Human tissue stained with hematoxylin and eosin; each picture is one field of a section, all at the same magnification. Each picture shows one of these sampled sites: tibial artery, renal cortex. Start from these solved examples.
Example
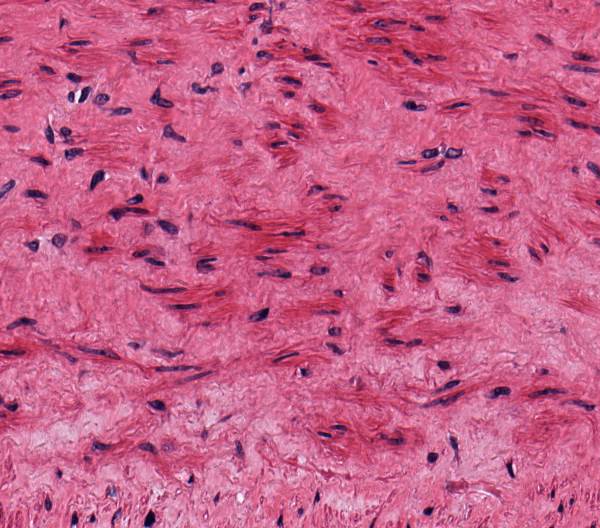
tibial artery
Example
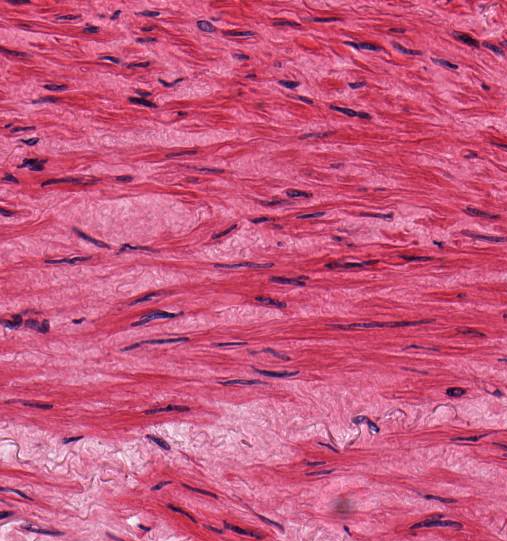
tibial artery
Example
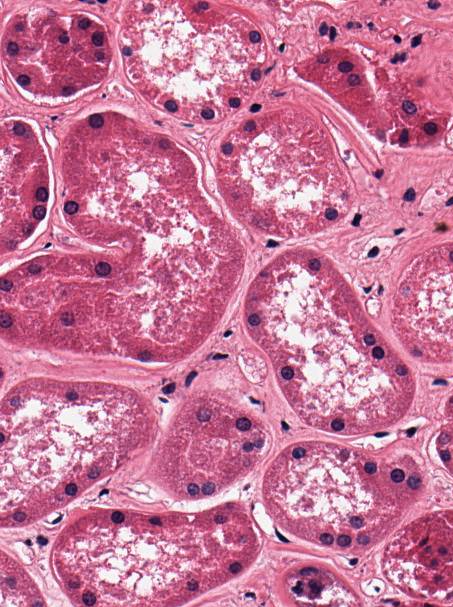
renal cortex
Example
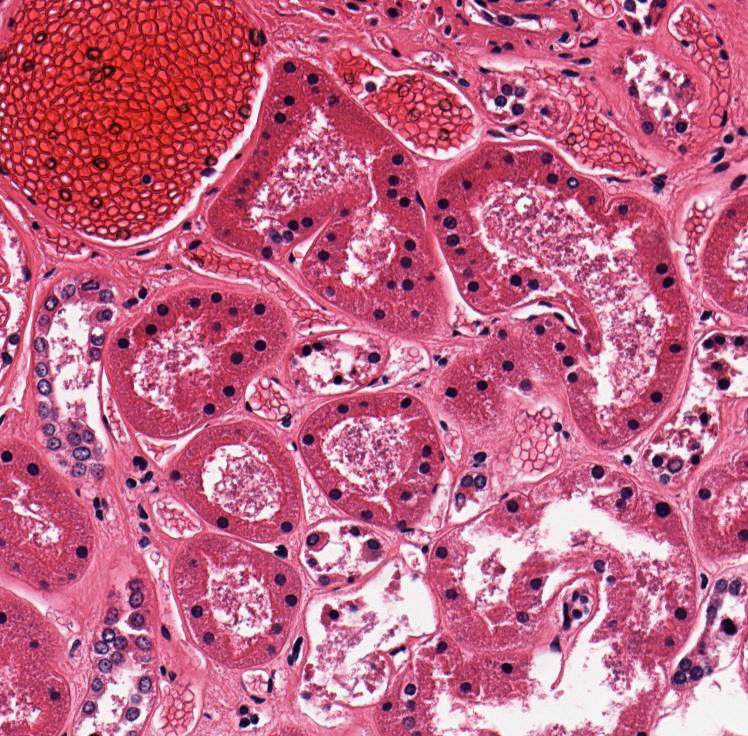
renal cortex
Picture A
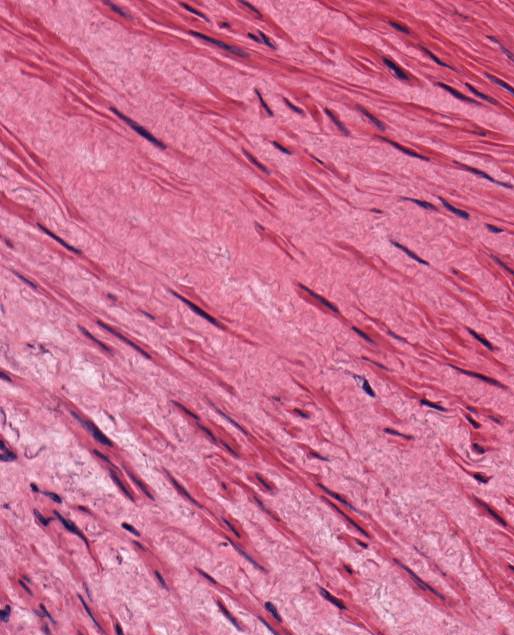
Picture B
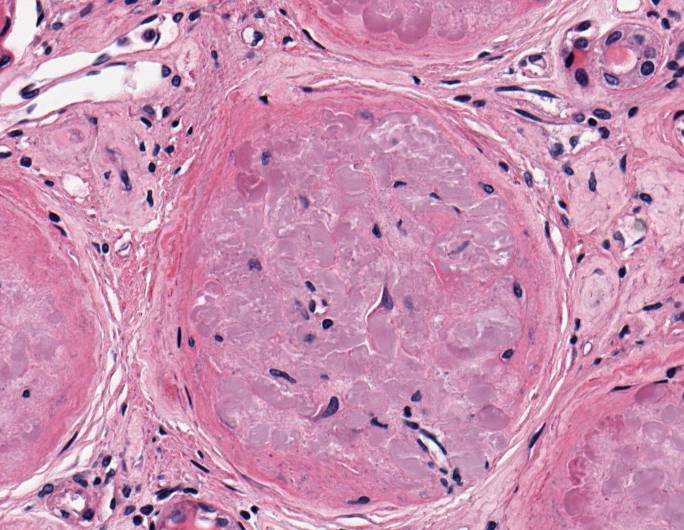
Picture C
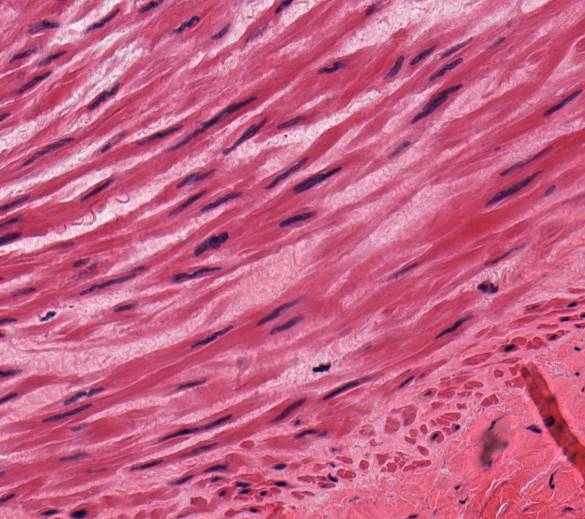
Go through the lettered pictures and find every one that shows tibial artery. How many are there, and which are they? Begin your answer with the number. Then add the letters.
2: A, C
